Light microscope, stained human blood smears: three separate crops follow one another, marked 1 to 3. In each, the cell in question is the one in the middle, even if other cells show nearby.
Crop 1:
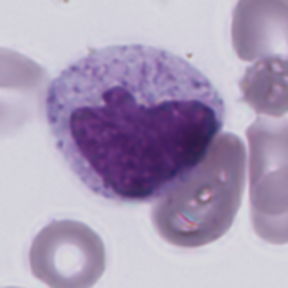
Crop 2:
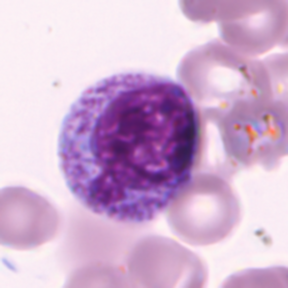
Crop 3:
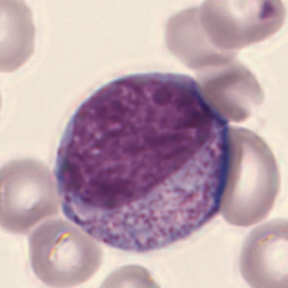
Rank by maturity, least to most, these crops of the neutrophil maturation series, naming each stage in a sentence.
Placed in order of rising maturity, the crops stand as crop 3 (a promyelocyte), crop 2 (a myelocyte) and crop 1 (a metamyelocyte).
